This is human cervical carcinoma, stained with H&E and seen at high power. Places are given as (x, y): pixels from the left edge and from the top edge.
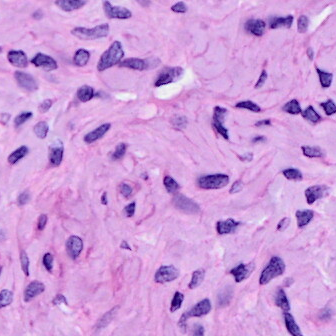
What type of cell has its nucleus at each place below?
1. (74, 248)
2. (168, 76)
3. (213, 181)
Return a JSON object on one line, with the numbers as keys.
{"1": "smooth muscle cell", "2": "endothelial cell", "3": "fibroblast"}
